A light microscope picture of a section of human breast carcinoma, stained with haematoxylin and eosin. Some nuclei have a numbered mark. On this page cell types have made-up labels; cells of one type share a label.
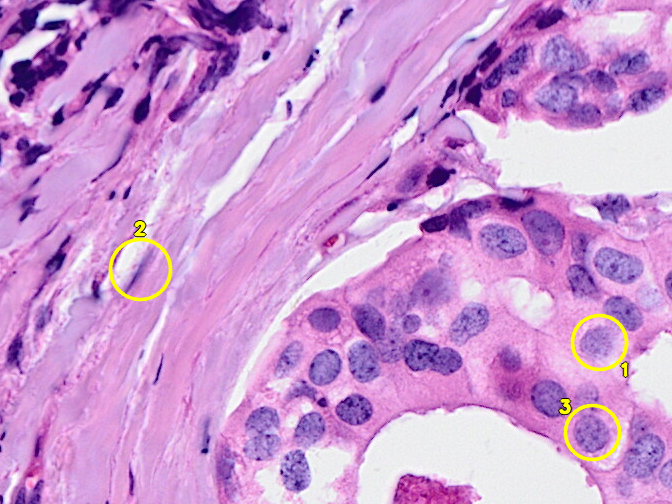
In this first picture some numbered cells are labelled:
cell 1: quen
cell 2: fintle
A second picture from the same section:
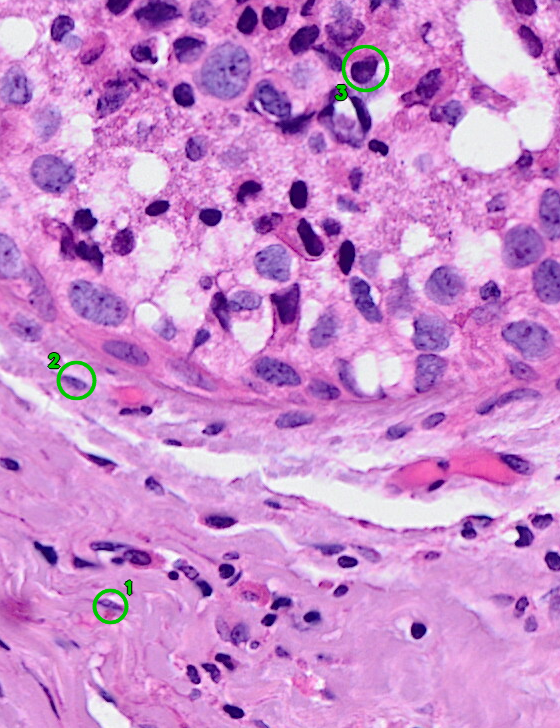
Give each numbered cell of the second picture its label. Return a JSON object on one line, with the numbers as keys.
{"1": "fintle", "2": "fintle", "3": "quen"}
